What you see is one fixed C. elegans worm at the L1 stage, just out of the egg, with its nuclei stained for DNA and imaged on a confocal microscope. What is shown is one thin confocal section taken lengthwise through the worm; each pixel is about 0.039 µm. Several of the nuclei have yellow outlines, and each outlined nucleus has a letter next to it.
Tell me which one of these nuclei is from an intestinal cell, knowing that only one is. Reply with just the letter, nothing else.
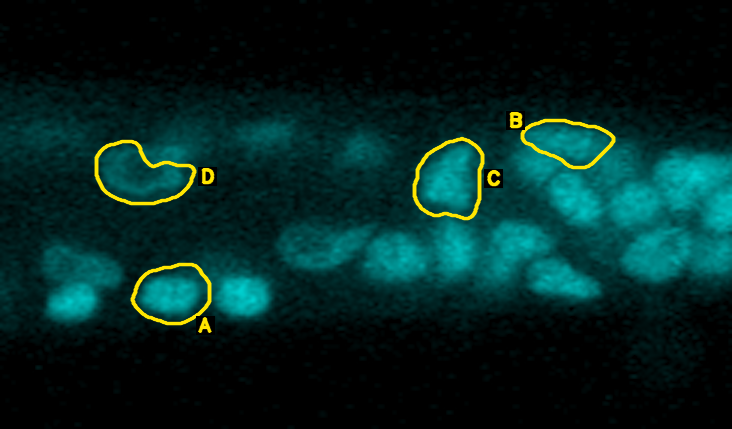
D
